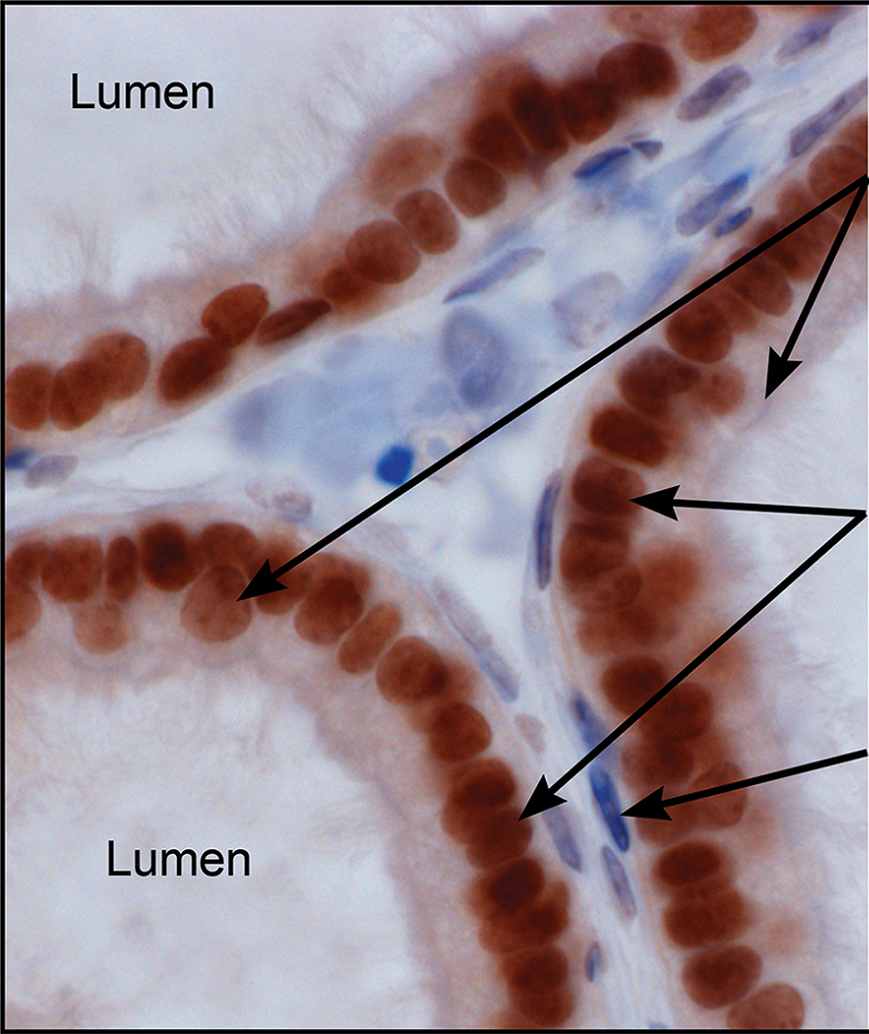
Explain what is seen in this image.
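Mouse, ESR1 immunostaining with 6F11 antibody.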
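Efferent ductules lined by a simple columnar epithelium of ciliated and nonciliated cells, with peritubular smooth muscle cells between the tubules. The epithelial nuclei are oval, closely packed in a single row and stained brown, some a deeper brown than others. The epithelial cytoplasm is faintly brownish, and pale cilia fringe the luminal surface of the lining. Between the tubules, elongated spindle-shaped nuclei in a thin layer are blue, lying in loose pale connective tissue.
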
